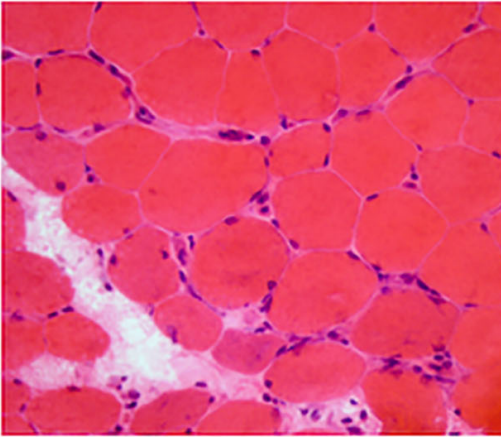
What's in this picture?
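This cross-section of skeletal muscle shows polygonal muscle fibers with bright pink cytoplasm packed closely together. The nuclei are small, dark purple and lie at the edges of the fibers, under the fiber membrane. Between the fibers runs a thin pale pink connective tissue, and a wider pale, loose area of connective tissue lies at the lower left. Fibers bordering this pale area are smaller and more rounded than the large fibers in the upper and central part of the field, so fiber size varies. Some interstitial nuclei lie between the fibers in the connective tissue.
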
